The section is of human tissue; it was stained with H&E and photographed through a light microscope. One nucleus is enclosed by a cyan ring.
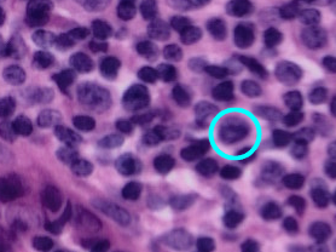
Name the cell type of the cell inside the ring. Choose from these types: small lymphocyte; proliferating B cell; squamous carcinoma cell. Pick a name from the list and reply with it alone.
proliferating B cell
